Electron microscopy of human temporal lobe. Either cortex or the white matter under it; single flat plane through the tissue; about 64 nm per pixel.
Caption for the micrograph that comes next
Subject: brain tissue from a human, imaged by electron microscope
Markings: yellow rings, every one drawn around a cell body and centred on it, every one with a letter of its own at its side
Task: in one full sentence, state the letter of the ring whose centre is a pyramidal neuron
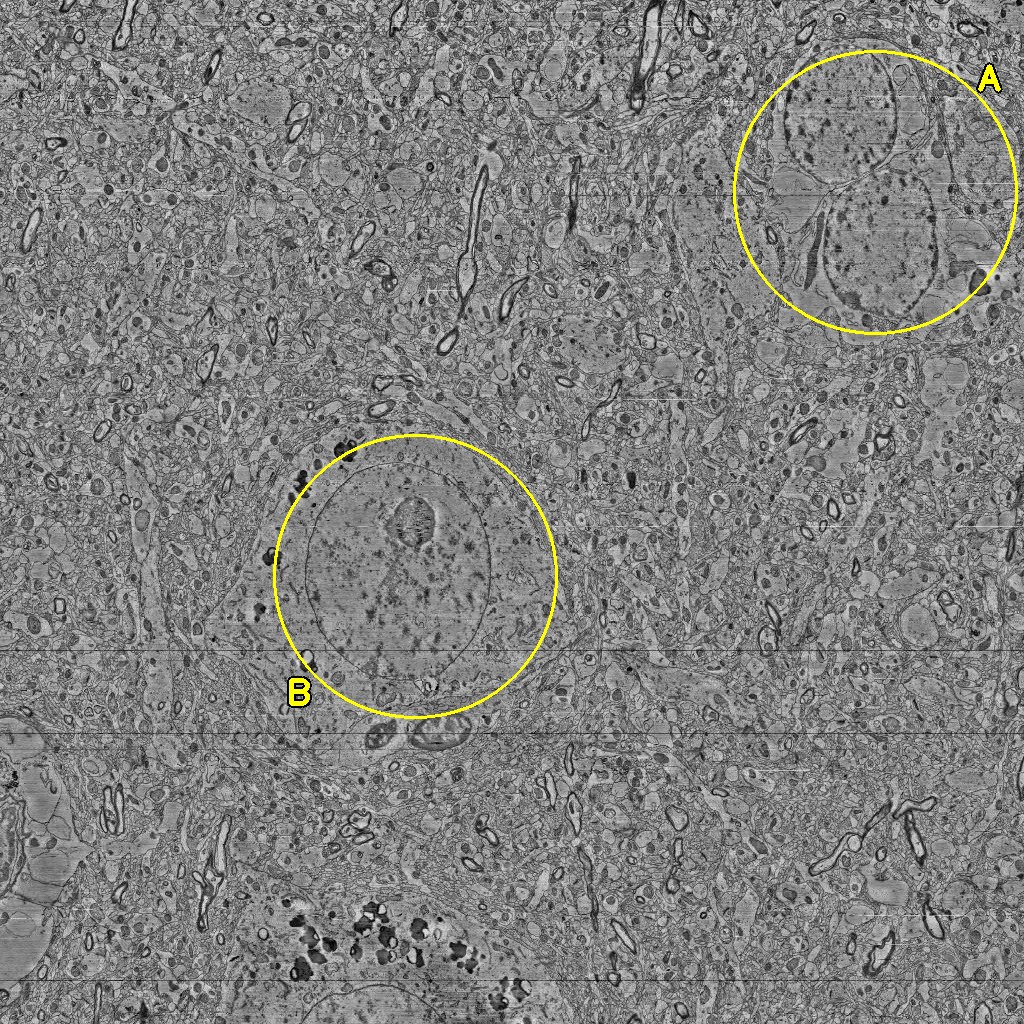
The ring centred on the cell asked for in this micrograph carries the letter B.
